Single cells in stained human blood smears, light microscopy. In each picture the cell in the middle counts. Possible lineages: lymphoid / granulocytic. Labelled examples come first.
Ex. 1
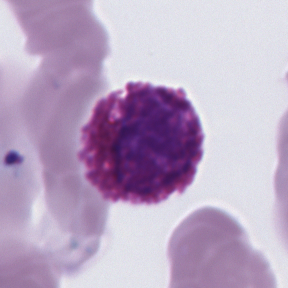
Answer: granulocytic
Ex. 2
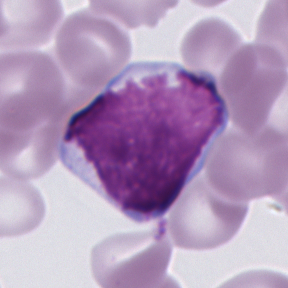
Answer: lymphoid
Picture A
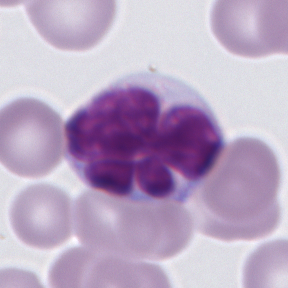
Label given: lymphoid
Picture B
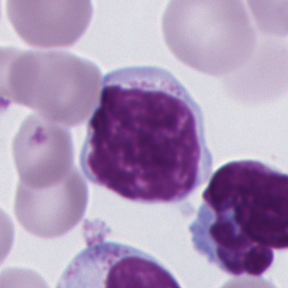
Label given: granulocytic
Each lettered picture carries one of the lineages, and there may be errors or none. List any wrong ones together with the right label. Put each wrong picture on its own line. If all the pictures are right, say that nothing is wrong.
B: not granulocytic but lymphoid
